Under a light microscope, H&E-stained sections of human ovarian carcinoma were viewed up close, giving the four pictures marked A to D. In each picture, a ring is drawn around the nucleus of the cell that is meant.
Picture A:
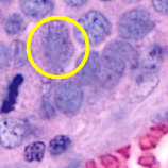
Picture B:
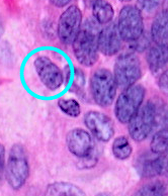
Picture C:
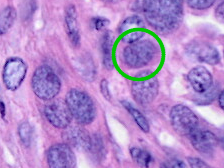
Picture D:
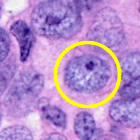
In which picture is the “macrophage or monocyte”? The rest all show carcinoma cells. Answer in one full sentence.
It is picture B that shows the “macrophage or monocyte”.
